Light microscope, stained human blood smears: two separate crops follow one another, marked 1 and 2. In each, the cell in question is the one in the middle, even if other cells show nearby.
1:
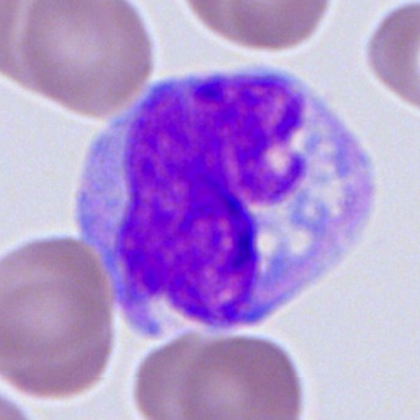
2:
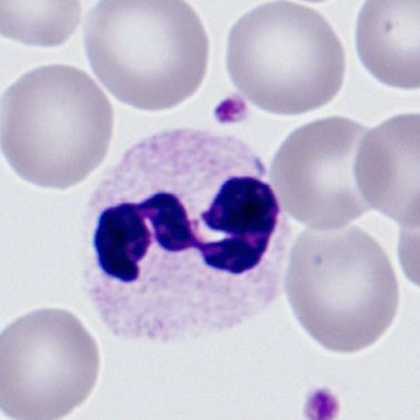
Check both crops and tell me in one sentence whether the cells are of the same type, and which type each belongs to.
No, a monocyte is in crop 1, while a segmented neutrophil is in crop 2.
